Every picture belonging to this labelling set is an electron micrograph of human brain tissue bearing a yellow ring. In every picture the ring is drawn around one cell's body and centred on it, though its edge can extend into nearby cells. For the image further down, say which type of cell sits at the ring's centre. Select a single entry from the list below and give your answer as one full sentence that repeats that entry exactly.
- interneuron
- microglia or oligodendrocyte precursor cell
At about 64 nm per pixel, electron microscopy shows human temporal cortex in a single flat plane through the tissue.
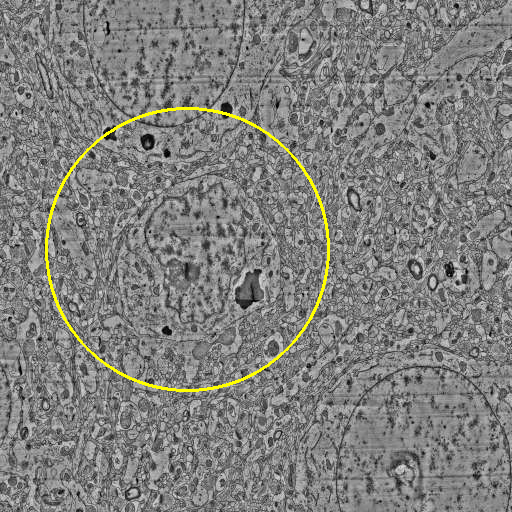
In the picture, an interneuron is the cell at the centre of the yellow ring.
